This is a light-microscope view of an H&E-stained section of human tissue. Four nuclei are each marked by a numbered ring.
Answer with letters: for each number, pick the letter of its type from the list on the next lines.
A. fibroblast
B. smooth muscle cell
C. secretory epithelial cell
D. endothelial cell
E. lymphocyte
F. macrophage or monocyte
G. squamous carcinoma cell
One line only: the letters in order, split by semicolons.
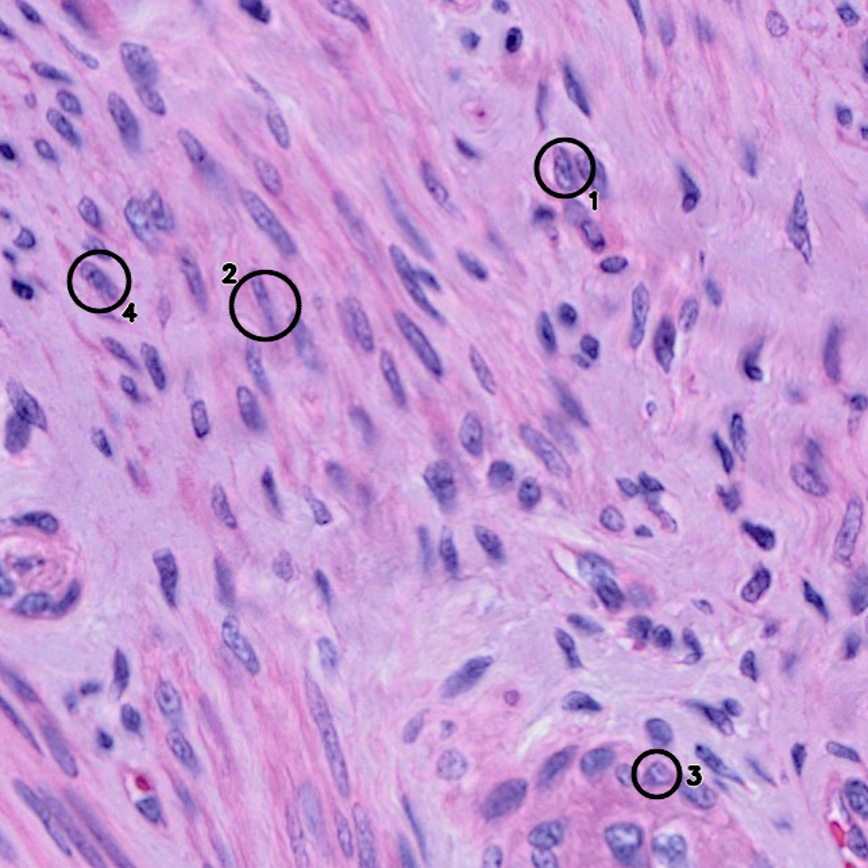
D; B; B; B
